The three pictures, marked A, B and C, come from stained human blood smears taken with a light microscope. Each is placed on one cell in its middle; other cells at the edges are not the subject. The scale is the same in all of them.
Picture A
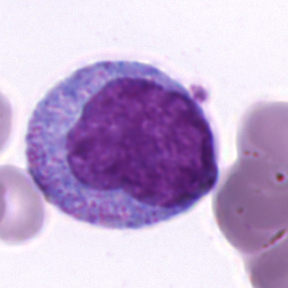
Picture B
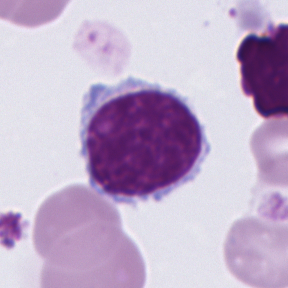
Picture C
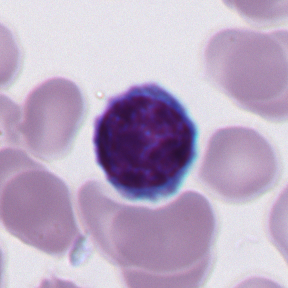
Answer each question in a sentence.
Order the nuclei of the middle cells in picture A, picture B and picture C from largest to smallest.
Largest first: A, B, C.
